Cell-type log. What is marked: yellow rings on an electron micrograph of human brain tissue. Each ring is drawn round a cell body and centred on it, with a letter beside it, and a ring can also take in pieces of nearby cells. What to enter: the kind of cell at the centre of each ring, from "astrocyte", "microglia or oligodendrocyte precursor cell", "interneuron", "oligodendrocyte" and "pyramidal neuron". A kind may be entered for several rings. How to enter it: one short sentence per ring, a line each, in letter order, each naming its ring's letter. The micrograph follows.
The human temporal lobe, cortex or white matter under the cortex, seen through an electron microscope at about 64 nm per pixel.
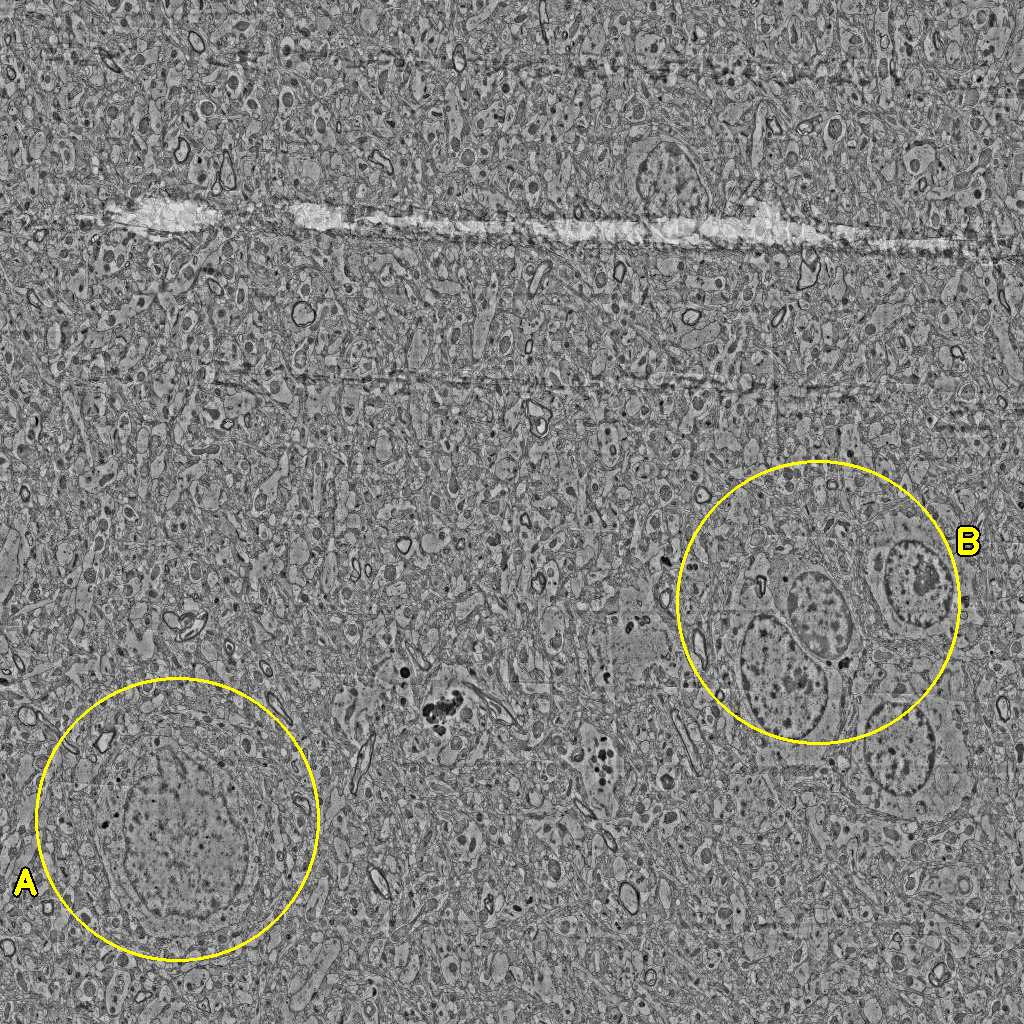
For ring A, the centre cell is an interneuron.
For ring B, the centre cell is an oligodendrocyte.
